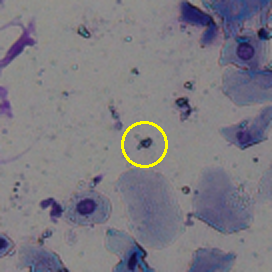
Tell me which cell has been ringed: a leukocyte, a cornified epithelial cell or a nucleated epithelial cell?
It is a leukocyte.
